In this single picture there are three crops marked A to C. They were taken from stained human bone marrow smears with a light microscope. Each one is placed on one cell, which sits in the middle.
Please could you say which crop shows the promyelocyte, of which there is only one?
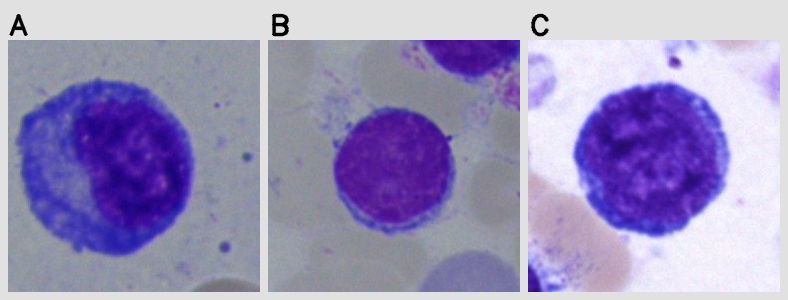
A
